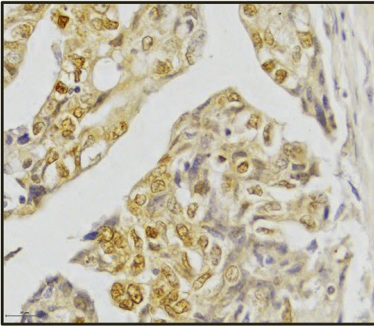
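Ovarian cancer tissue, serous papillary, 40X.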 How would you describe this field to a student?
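The tumor cells have enlarged, irregular, pleomorphic nuclei of varying size. Many nuclei and the surrounding cytoplasm stain brown, while some cells show only blue nuclei. At the right edge lies paler fibrous stroma with elongated spindle-shaped nuclei. Clear empty spaces separate the fronds from one another.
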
